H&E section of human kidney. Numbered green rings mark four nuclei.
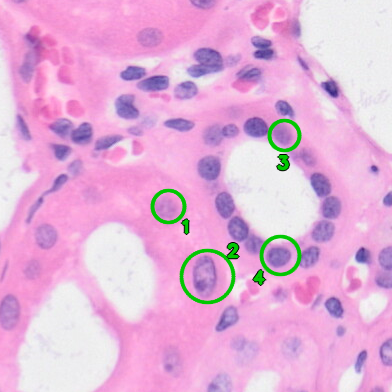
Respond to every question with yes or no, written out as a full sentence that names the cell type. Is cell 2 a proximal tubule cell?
Yes, cell number 2 is classified as a proximal tubule cell.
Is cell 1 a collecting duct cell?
No, it is not a collecting duct cell that bears number 1 but a proximal tubule cell.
